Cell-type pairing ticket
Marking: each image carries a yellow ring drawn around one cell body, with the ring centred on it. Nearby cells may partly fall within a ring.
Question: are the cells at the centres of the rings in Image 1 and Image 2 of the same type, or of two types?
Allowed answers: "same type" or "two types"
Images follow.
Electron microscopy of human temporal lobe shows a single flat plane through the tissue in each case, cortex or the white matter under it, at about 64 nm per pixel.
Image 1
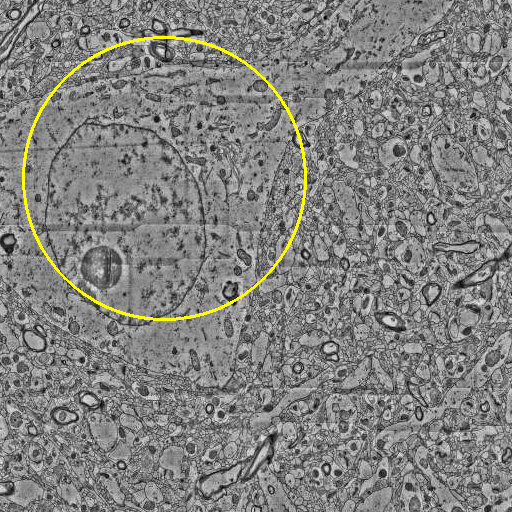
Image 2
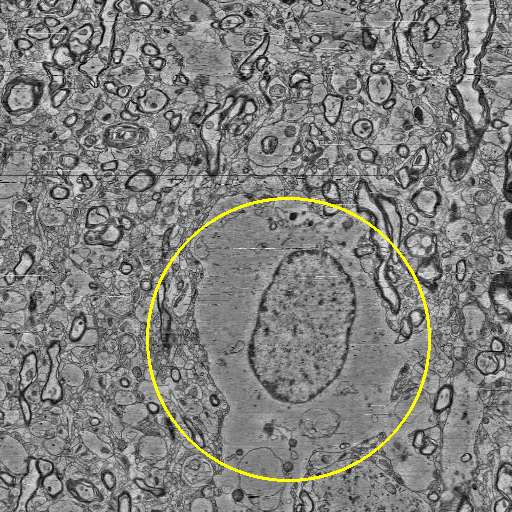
two types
